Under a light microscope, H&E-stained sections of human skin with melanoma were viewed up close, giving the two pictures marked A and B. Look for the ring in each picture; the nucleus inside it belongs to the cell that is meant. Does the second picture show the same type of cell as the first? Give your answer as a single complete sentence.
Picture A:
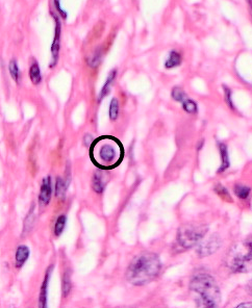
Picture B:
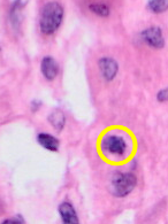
Yes, both are lymphocytes.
